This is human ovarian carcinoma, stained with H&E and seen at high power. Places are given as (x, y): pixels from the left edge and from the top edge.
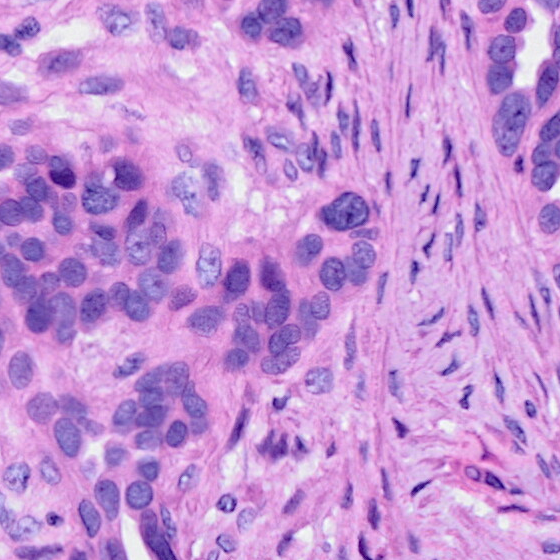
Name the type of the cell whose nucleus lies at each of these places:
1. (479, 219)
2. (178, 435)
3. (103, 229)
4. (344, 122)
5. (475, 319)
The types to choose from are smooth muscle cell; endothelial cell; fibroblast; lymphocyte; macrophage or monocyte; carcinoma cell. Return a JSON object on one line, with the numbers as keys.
{"1": "fibroblast", "2": "carcinoma cell", "3": "carcinoma cell", "4": "fibroblast", "5": "fibroblast"}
